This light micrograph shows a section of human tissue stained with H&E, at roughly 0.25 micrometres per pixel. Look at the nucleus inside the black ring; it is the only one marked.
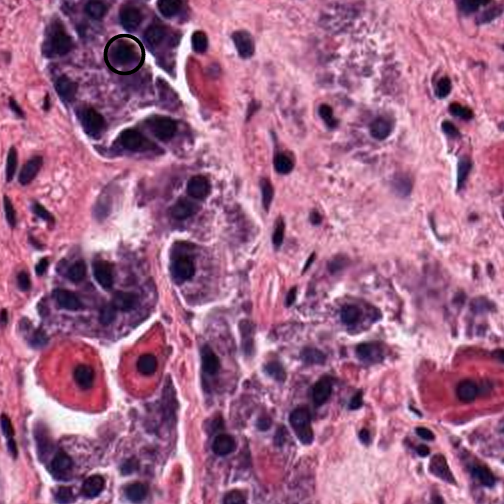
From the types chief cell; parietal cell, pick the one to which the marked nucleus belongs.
chief cell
